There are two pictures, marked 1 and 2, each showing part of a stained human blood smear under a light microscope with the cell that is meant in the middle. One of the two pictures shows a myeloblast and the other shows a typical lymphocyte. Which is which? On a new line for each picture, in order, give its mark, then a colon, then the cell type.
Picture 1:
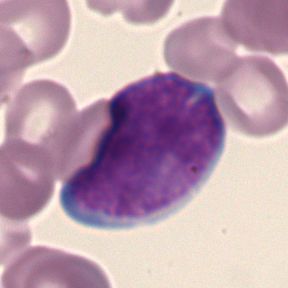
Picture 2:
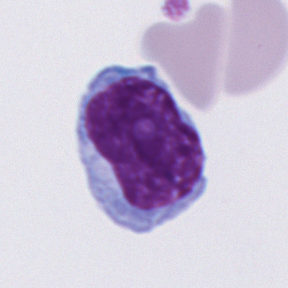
1: myeloblast
2: typical lymphocyte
